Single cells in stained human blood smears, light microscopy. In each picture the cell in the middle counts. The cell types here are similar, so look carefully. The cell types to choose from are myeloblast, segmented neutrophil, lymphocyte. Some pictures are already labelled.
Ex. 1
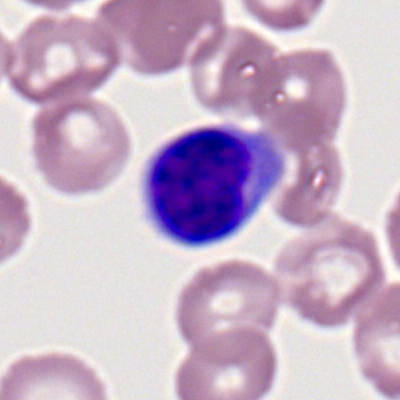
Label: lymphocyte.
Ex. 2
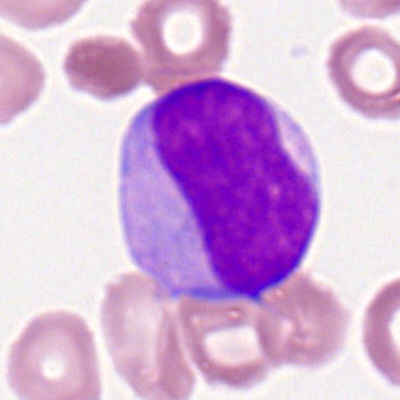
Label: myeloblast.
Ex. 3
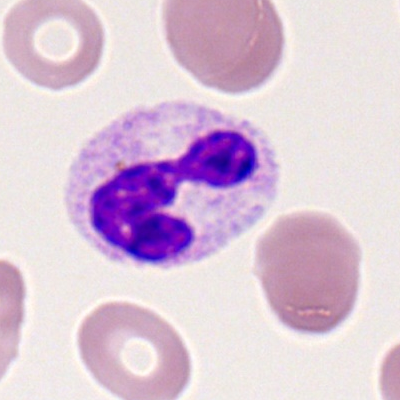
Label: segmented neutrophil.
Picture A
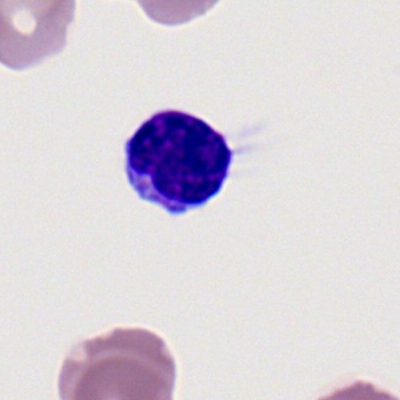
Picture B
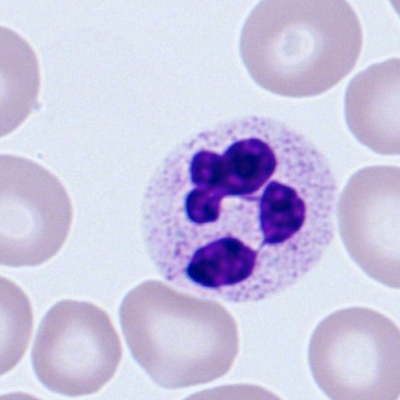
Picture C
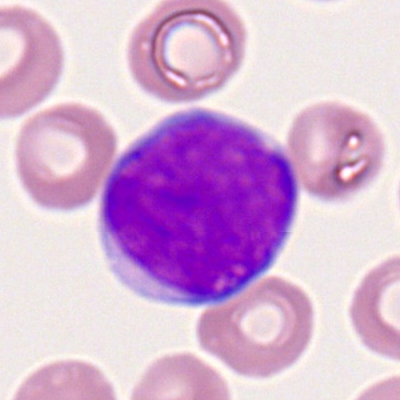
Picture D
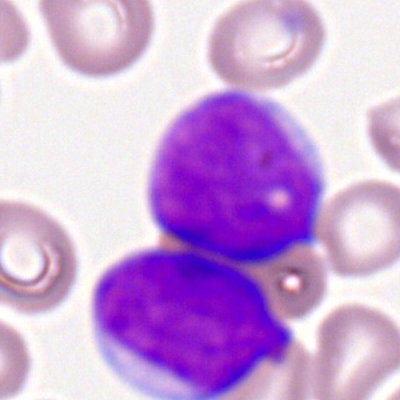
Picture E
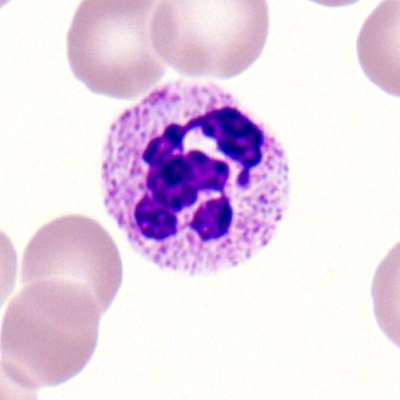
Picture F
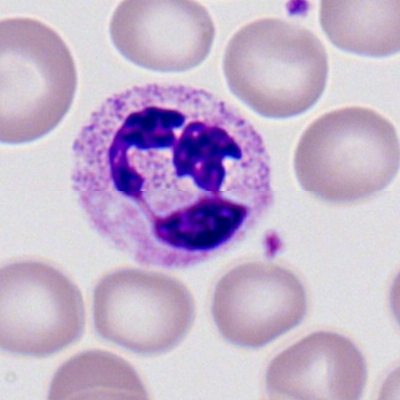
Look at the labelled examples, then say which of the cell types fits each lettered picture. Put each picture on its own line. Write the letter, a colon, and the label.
A: lymphocyte.
B: segmented neutrophil.
C: myeloblast.
D: myeloblast.
E: segmented neutrophil.
F: segmented neutrophil.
